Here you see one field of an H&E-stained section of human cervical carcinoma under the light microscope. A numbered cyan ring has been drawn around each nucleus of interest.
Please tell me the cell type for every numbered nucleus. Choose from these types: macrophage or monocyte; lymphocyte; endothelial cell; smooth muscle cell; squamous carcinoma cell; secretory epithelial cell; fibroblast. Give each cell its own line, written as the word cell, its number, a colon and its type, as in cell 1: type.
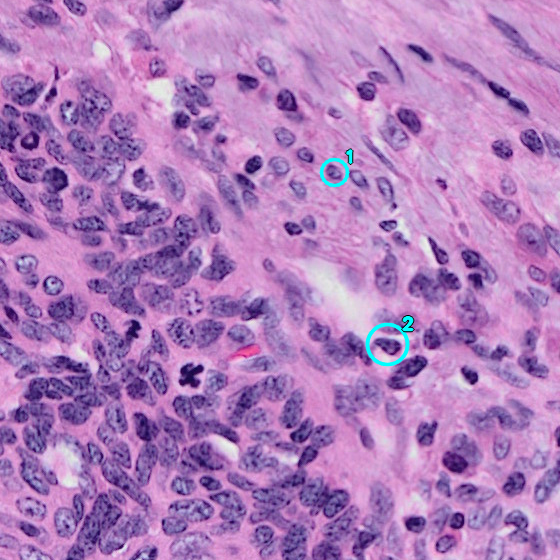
cell 1: smooth muscle cell
cell 2: lymphocyte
